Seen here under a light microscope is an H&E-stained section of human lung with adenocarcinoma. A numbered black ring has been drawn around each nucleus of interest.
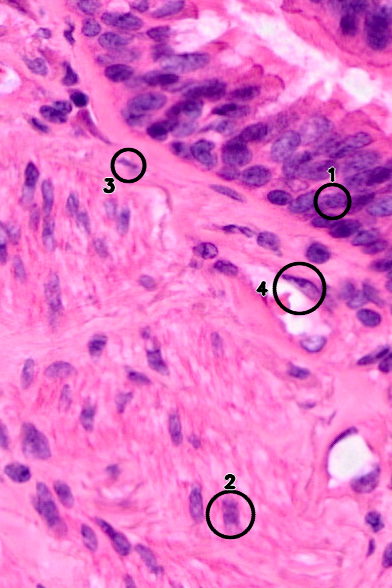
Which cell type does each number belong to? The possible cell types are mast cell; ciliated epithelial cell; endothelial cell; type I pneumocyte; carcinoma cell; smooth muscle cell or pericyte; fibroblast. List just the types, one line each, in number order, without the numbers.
ciliated epithelial cell
smooth muscle cell or pericyte
fibroblast
endothelial cell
